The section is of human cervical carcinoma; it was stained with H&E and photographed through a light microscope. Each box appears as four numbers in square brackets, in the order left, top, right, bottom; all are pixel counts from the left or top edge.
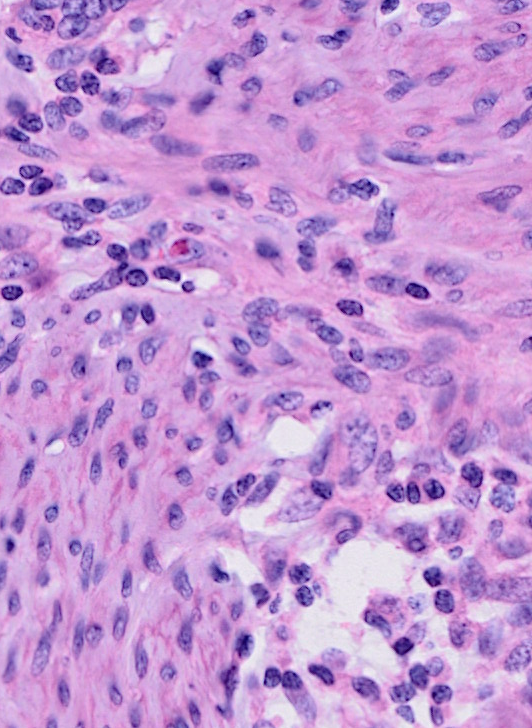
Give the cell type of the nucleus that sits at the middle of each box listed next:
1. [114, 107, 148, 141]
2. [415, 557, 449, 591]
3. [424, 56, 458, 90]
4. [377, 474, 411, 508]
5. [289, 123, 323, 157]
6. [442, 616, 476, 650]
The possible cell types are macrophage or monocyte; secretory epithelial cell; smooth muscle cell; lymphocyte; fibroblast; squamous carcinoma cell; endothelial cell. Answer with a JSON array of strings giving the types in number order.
["fibroblast", "lymphocyte", "smooth muscle cell", "lymphocyte", "smooth muscle cell", "macrophage or monocyte"]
